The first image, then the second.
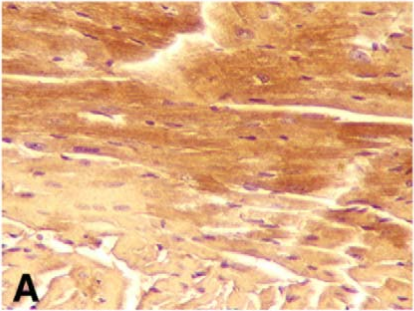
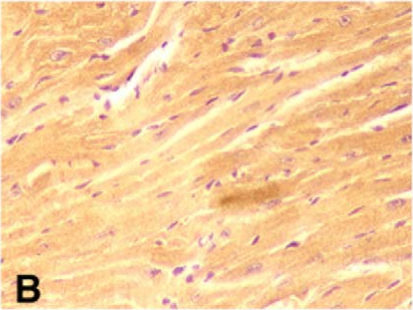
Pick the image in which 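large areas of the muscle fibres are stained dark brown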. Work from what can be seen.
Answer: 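Second image: fibres are mostly pale tan, with only one small dark brown patch. First image: broad stretches of fibres are stained deep brown. That points to this answer: the first image.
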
